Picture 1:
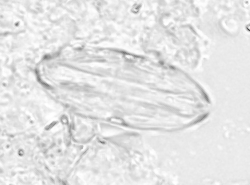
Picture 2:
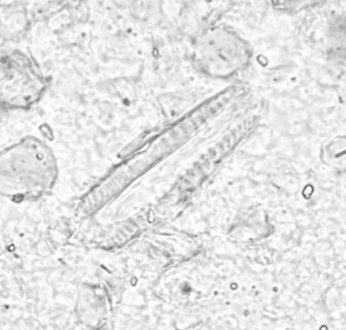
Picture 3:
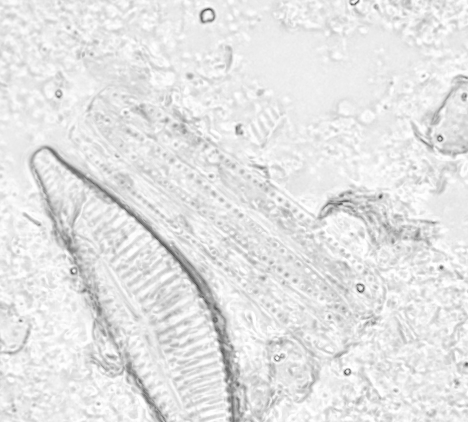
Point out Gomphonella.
That is picture 2.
